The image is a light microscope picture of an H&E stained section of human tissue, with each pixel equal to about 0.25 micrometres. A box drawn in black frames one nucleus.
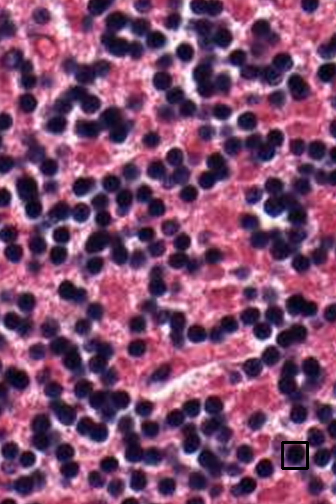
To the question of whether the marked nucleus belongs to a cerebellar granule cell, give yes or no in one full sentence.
Yes, to a cerebellar granule cell belongs the marked nucleus.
